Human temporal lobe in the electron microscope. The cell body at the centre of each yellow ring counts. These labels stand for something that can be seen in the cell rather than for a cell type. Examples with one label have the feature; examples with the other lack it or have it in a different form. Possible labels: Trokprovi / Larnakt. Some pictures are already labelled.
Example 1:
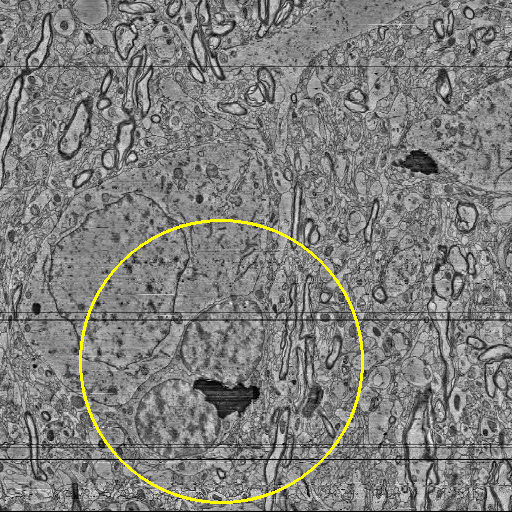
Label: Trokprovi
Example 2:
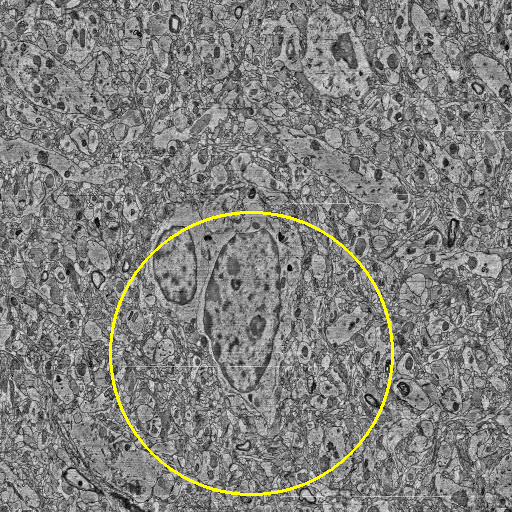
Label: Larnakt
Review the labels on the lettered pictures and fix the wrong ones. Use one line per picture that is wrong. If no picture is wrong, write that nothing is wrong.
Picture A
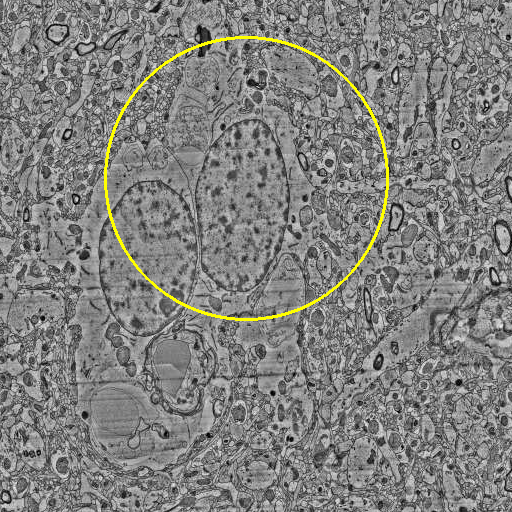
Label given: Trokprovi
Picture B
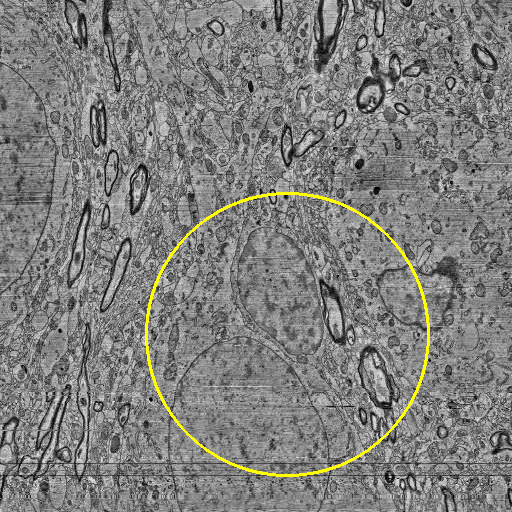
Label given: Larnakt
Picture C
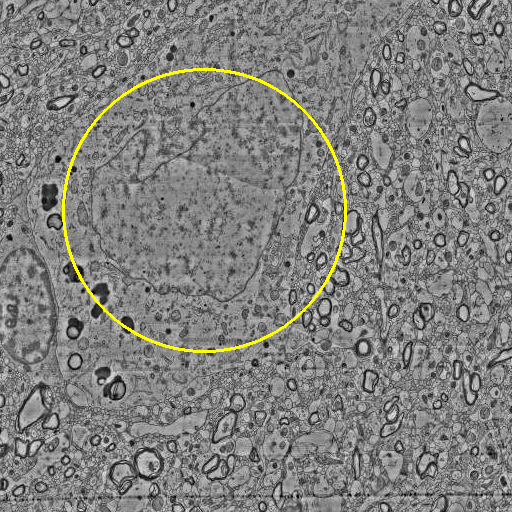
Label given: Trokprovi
B: change Larnakt to Trokprovi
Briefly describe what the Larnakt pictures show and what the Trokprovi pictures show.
Larnakt: nucleolus seen; Trokprovi: no nucleolus seen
